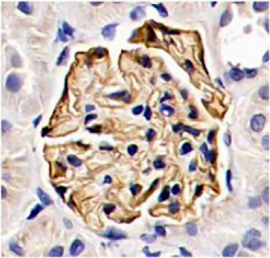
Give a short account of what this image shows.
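A glomerulus sits among renal tubules, its capillary tuft forming a rounded mass of looping vessels. Small dark blue nuclei are scattered between the loops, and a narrow clear space separates the tuft from the capsule and the paler surrounding tubular epithelium.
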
